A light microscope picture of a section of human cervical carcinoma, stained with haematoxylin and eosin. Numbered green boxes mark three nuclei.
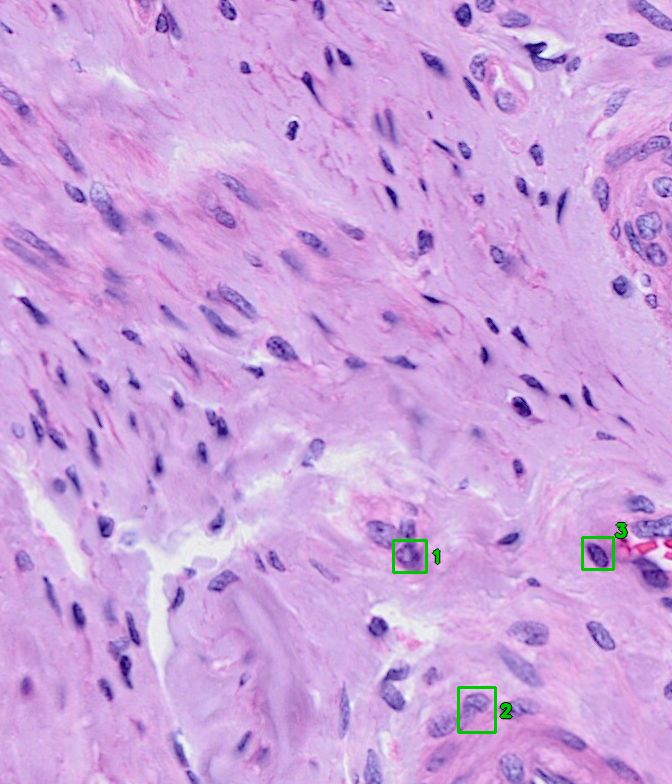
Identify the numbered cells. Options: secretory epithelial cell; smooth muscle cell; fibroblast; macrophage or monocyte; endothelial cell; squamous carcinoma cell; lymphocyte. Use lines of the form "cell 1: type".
cell 1: endothelial cell
cell 2: smooth muscle cell
cell 3: endothelial cell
